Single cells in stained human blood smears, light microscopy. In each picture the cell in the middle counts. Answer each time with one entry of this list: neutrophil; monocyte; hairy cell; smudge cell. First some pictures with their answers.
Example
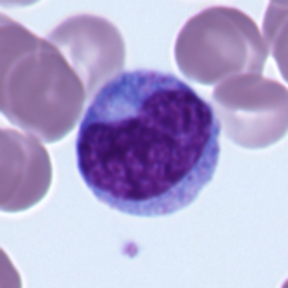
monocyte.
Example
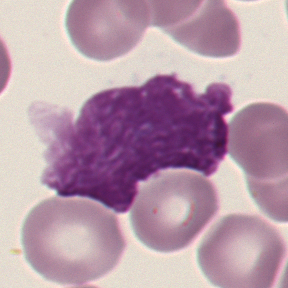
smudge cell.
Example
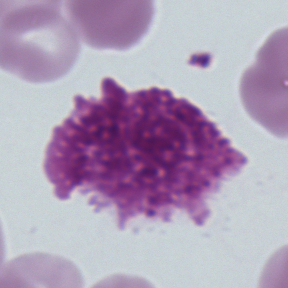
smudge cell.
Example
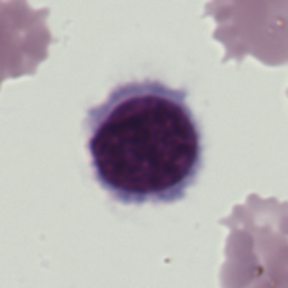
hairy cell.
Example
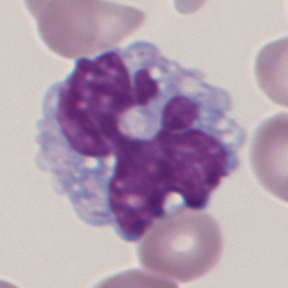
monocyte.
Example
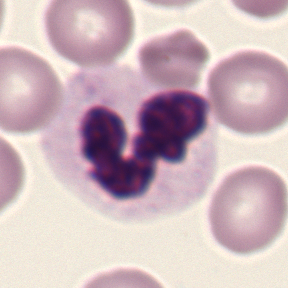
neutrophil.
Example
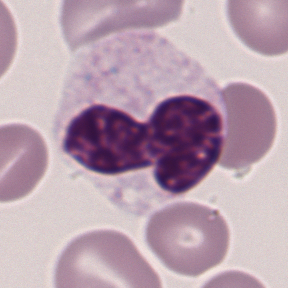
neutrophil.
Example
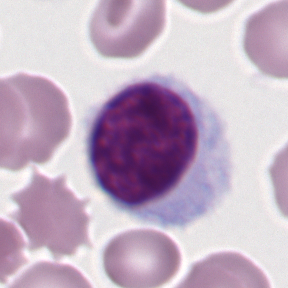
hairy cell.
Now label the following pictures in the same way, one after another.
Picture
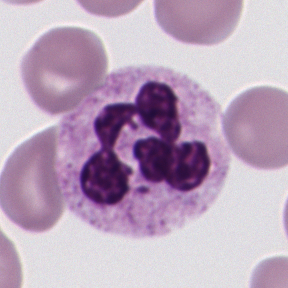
neutrophil.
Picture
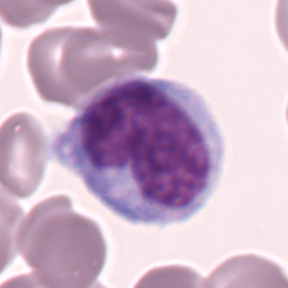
monocyte.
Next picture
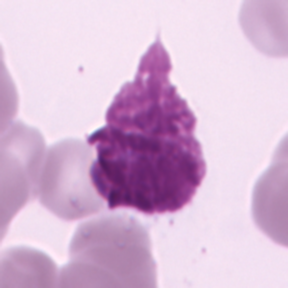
smudge cell.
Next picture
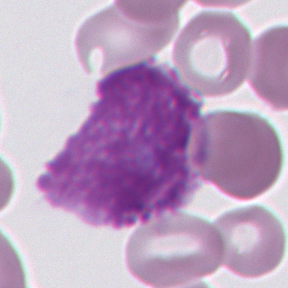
smudge cell.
